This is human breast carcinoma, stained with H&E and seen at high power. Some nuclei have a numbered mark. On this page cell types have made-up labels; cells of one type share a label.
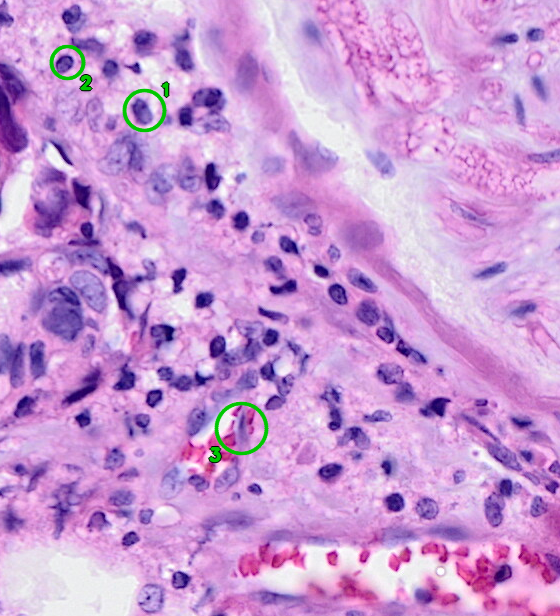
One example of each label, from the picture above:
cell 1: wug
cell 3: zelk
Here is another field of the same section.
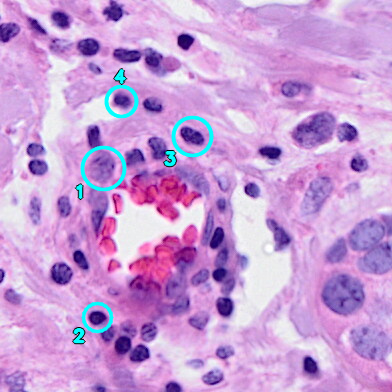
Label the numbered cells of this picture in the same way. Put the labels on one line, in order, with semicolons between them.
zelk; wug; wug; wug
